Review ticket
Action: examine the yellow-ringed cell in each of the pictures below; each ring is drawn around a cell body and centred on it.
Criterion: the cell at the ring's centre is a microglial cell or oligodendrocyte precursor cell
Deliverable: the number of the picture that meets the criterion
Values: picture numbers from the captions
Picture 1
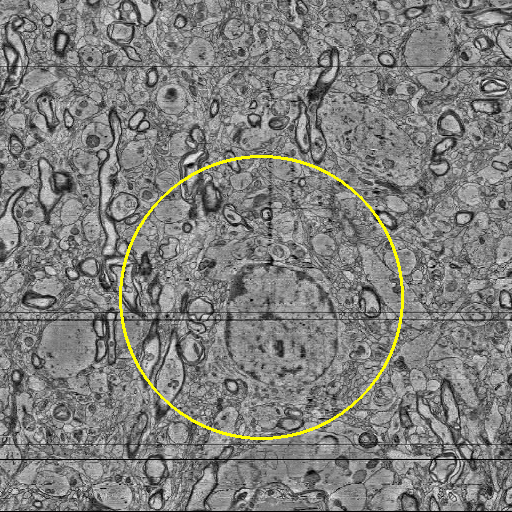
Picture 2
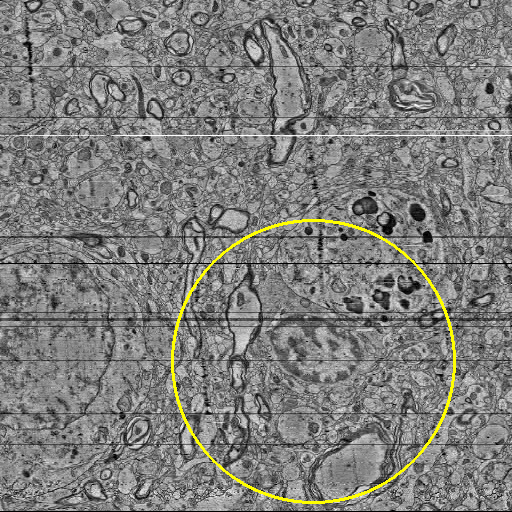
1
